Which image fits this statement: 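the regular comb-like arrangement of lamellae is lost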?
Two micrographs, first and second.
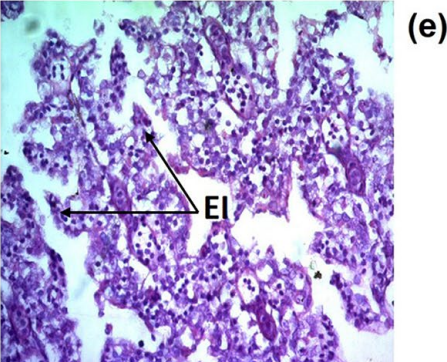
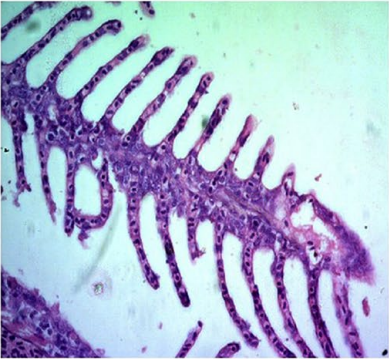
The first image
